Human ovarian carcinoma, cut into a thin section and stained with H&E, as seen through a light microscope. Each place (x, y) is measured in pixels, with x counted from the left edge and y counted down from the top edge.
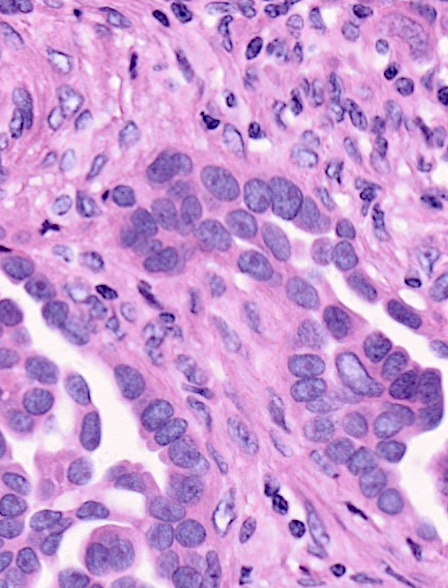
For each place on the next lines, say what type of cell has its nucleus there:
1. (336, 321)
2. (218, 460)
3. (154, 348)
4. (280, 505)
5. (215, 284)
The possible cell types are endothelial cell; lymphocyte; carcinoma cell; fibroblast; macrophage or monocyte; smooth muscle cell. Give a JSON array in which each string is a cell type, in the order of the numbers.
["carcinoma cell", "fibroblast", "fibroblast", "lymphocyte", "fibroblast"]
